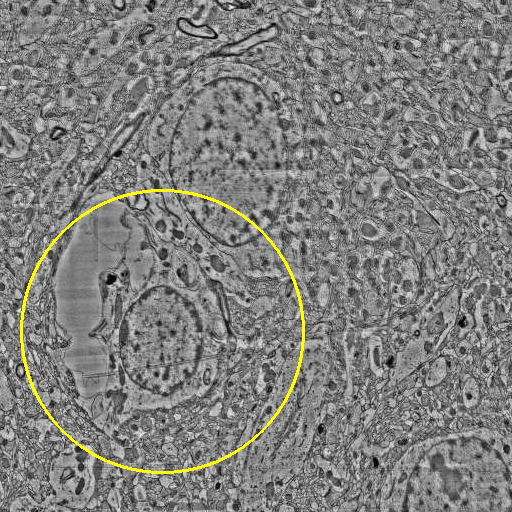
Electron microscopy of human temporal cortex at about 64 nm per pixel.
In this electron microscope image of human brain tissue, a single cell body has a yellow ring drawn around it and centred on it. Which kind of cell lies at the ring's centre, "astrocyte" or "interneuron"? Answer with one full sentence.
It is an astrocyte whose cell body lies at the centre of the yellow ring here.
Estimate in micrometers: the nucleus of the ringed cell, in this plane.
About 7 by 5 micrometers, in this plane.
